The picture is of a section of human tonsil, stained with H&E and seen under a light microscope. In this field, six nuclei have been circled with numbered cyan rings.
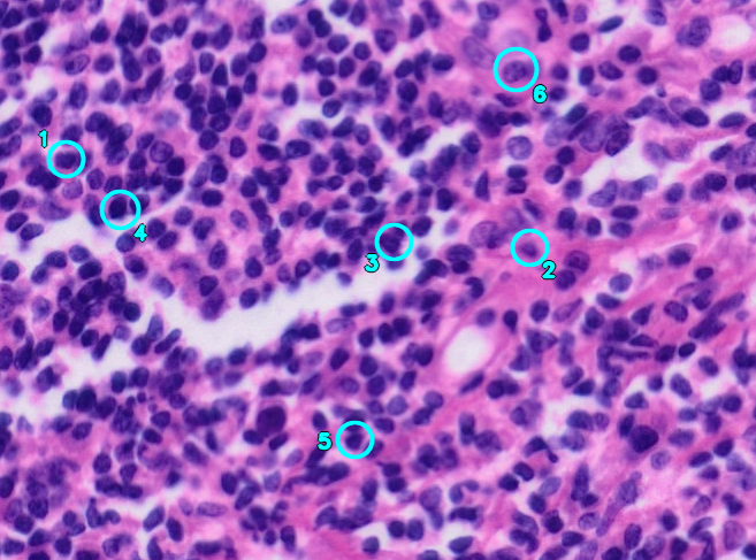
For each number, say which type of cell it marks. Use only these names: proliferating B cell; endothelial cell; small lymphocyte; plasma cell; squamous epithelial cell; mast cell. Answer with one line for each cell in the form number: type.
1: small lymphocyte
2: endothelial cell
3: small lymphocyte
4: small lymphocyte
5: small lymphocyte
6: endothelial cell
